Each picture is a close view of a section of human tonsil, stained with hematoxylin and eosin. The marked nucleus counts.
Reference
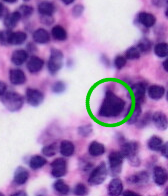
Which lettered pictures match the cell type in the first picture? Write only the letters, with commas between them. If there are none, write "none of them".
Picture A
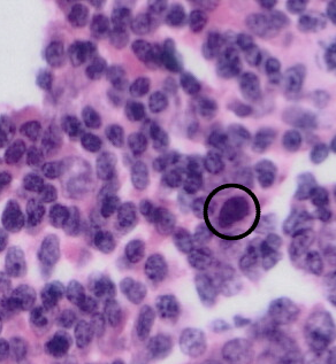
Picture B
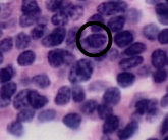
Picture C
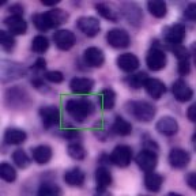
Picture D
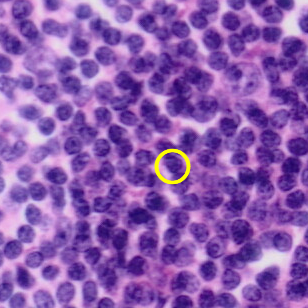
A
